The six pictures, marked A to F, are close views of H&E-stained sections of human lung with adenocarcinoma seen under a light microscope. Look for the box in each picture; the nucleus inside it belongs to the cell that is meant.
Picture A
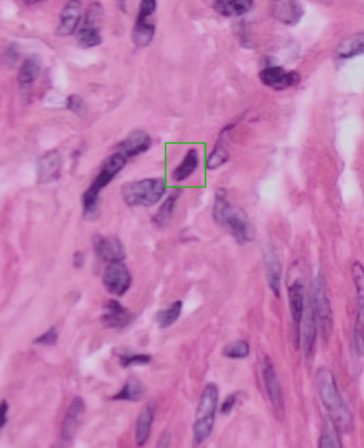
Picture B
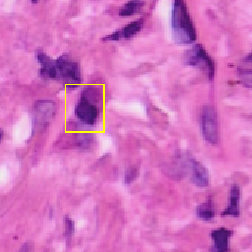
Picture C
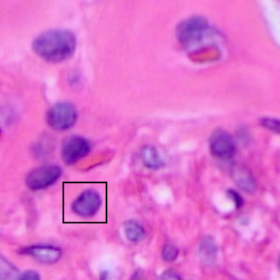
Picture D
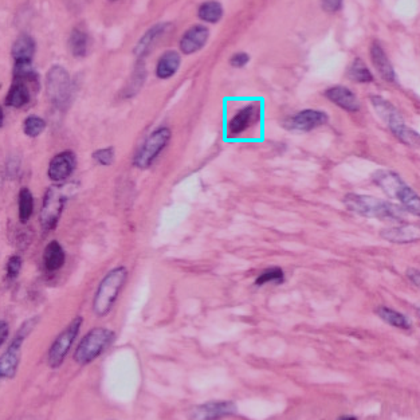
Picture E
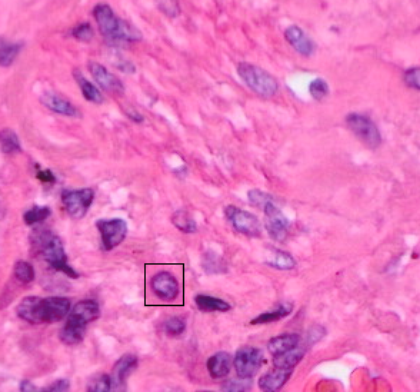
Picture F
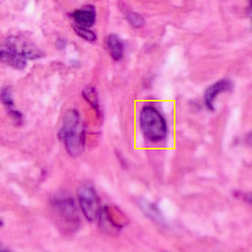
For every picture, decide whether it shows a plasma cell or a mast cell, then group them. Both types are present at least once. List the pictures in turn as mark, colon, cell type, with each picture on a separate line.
A: mast cell
B: plasma cell
C: mast cell
D: plasma cell
E: mast cell
F: plasma cell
